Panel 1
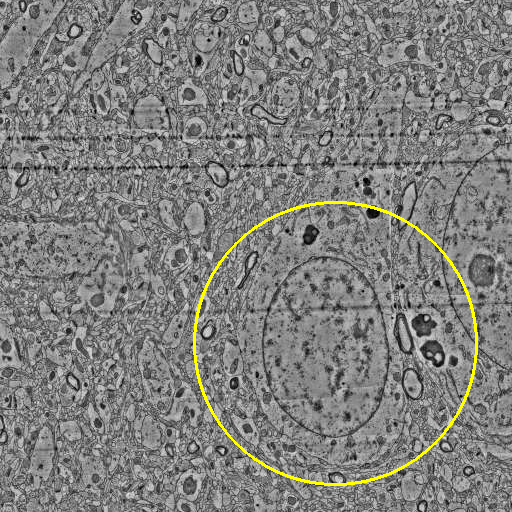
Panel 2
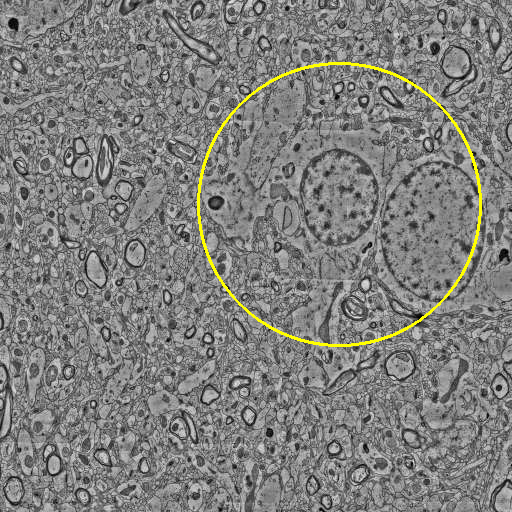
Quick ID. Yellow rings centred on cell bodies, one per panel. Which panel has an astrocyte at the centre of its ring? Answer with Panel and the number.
Panel 2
